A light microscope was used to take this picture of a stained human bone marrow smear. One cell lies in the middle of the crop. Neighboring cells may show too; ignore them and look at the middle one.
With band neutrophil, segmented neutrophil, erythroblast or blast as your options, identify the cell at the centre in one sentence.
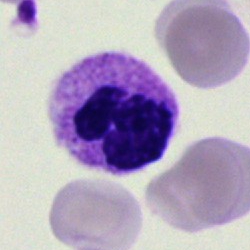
To answer, the cell in the center of the crop is a segmented neutrophil.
